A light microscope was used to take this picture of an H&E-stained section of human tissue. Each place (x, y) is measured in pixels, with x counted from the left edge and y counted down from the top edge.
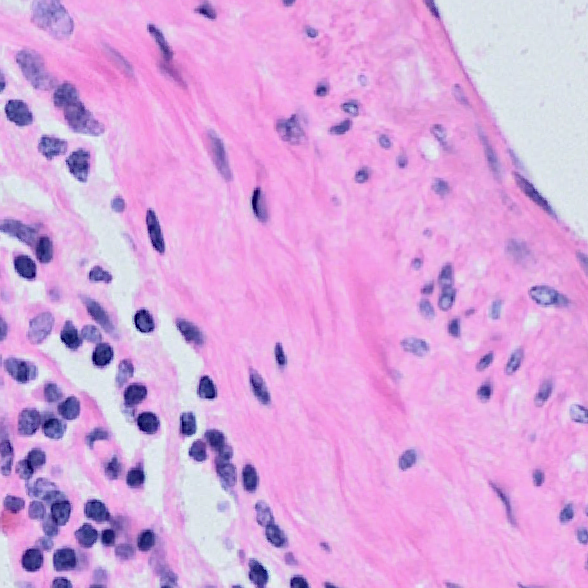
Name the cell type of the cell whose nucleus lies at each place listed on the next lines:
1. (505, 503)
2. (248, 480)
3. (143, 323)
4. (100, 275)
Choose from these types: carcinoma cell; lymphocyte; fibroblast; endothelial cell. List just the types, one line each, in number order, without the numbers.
fibroblast
lymphocyte
lymphocyte
lymphocyte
